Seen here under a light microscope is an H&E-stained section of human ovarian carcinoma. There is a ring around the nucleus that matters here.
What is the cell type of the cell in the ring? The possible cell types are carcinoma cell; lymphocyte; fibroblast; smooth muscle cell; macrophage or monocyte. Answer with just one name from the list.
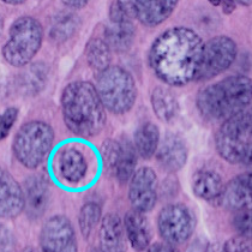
macrophage or monocyte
